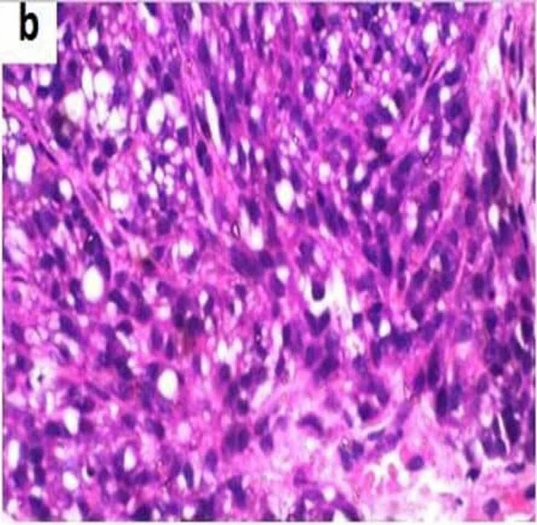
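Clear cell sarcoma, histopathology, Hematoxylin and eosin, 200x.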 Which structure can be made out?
fascicles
